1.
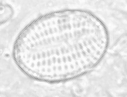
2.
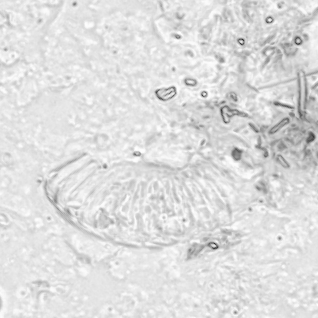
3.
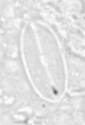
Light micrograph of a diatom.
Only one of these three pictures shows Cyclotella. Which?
Picture 2.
